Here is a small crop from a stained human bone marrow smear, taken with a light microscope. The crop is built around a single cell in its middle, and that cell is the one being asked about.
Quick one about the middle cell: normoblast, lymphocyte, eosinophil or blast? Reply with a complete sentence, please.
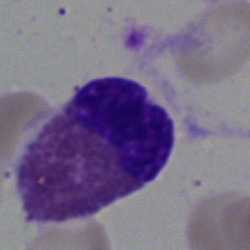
At the middle of the frame sits an eosinophil.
